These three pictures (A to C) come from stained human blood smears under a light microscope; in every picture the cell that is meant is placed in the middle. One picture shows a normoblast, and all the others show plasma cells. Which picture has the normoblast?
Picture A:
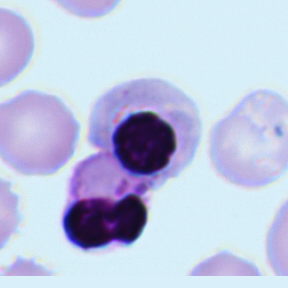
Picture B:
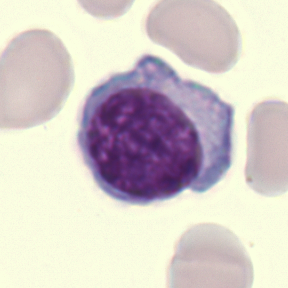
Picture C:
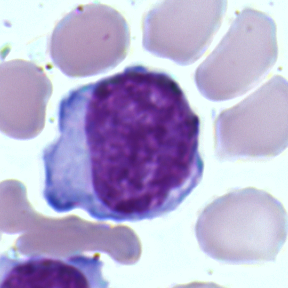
A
